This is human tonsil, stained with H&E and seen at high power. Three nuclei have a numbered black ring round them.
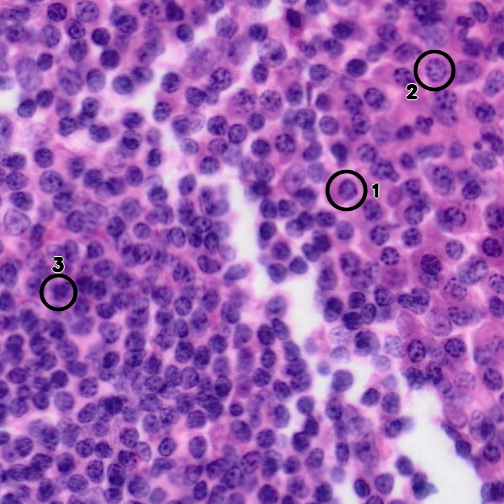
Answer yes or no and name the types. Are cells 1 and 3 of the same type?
No; cell 1 is a plasma cell, and cell 3 is a small lymphocyte.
